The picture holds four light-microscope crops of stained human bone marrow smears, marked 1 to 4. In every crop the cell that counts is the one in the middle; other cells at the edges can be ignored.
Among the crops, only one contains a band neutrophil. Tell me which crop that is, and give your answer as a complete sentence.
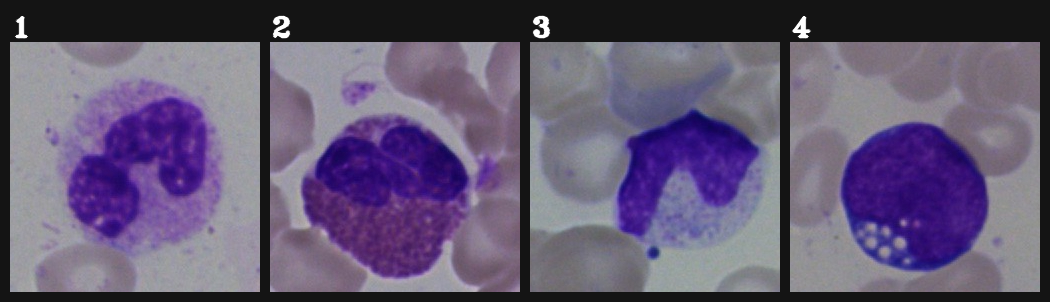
In this set, crop 3 is the one showing a band neutrophil.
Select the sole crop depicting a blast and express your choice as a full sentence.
The crop that shows a blast is crop 4.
